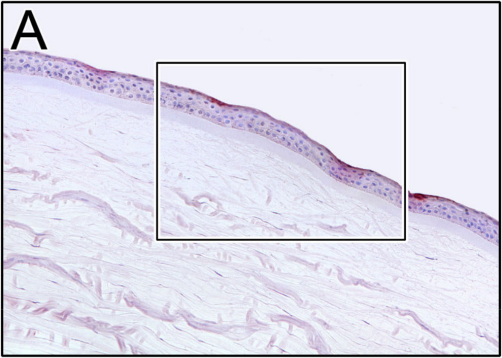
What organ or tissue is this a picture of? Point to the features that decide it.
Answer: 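A thin stratified epithelium covers one surface. Beneath lies a thick, cell-poor stroma of regular parallel collagen lamellae. No blood vessels are seen in the stroma. On this evidence: cornea.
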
